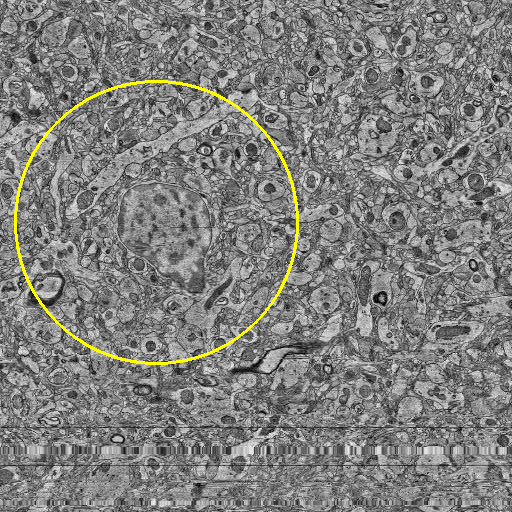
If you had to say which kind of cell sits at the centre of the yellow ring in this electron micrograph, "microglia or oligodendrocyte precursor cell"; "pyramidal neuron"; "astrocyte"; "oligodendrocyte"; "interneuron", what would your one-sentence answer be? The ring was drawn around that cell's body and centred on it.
The cell sitting at the centre of the ring is a microglial cell or oligodendrocyte precursor cell.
